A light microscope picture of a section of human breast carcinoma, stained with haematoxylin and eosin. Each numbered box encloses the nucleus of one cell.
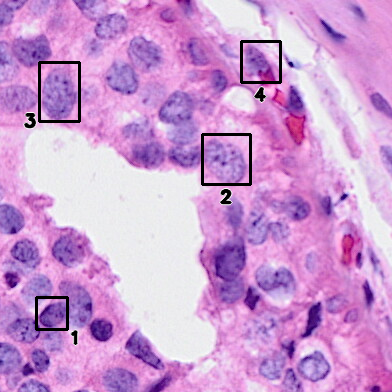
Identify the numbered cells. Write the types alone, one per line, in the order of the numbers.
carcinoma cell
carcinoma cell
carcinoma cell
endothelial cell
